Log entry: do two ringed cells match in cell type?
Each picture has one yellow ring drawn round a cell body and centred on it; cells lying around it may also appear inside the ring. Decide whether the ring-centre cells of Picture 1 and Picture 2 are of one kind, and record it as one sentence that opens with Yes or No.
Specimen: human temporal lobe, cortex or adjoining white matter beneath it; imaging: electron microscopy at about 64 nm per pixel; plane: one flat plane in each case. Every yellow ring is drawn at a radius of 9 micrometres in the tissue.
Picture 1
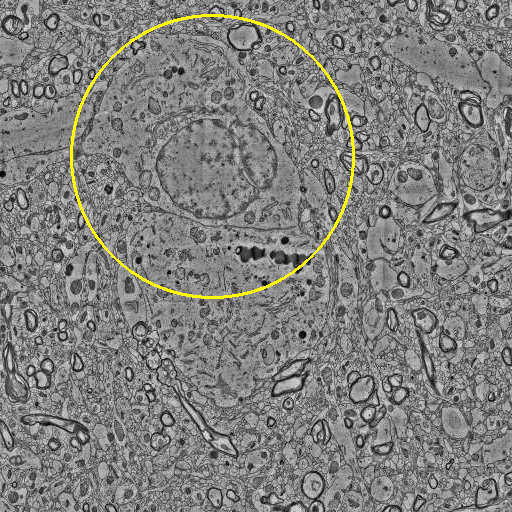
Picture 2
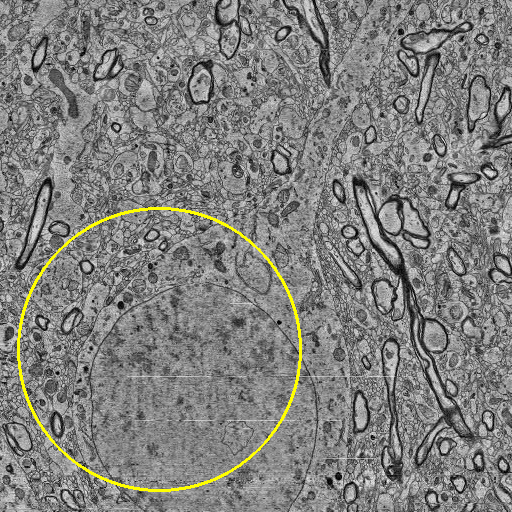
No, the cells at the ring centres of the two pictures belong to two kinds.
